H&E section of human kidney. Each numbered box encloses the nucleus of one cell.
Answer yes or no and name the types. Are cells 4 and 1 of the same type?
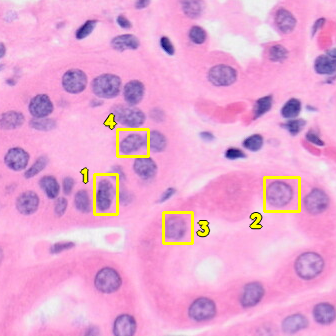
Yes, by their numbers, cells 4 and 1 are both collecting duct cells.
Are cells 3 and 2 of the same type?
Yes, cells 3 and 2 are both to be classed as proximal tubule cells.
